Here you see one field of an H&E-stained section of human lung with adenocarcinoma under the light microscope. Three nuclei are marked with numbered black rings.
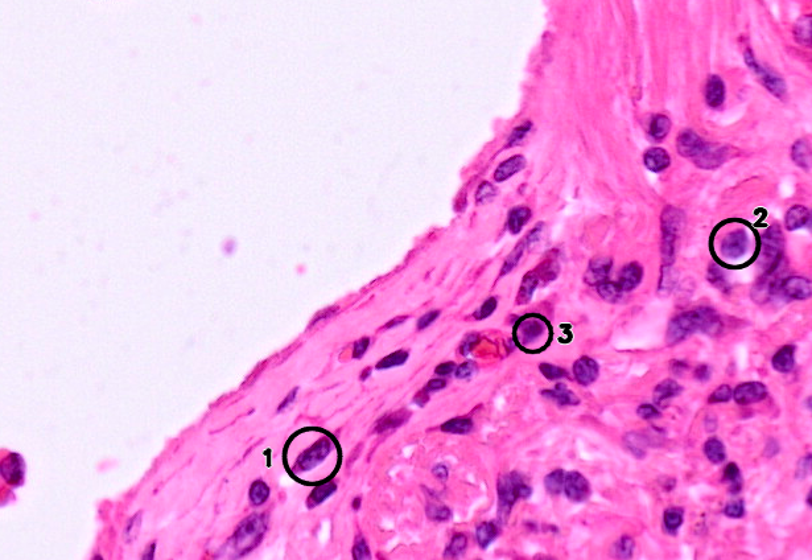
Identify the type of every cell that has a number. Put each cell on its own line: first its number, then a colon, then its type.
1: plasma cell
2: lymphocyte
3: plasma cell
